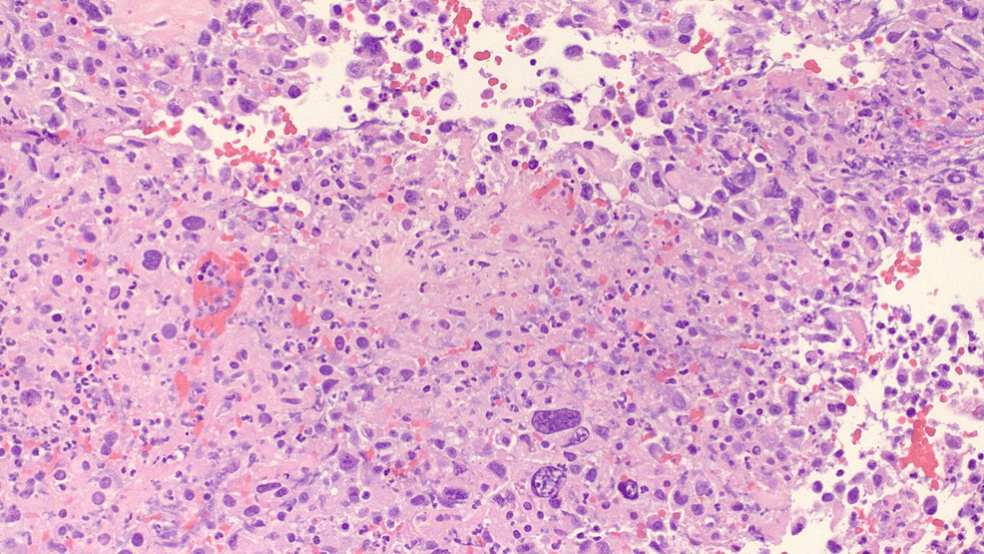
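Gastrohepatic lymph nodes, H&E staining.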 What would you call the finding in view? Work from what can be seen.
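Scattered very large, dark purple nuclei, several times the size of neighbouring nuclei. Nuclei vary widely in size and shape, some irregular or multilobed. Coarse chromatin and visible nucleoli in the biggest nuclei. On this evidence: large pleomorphic nuclei.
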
